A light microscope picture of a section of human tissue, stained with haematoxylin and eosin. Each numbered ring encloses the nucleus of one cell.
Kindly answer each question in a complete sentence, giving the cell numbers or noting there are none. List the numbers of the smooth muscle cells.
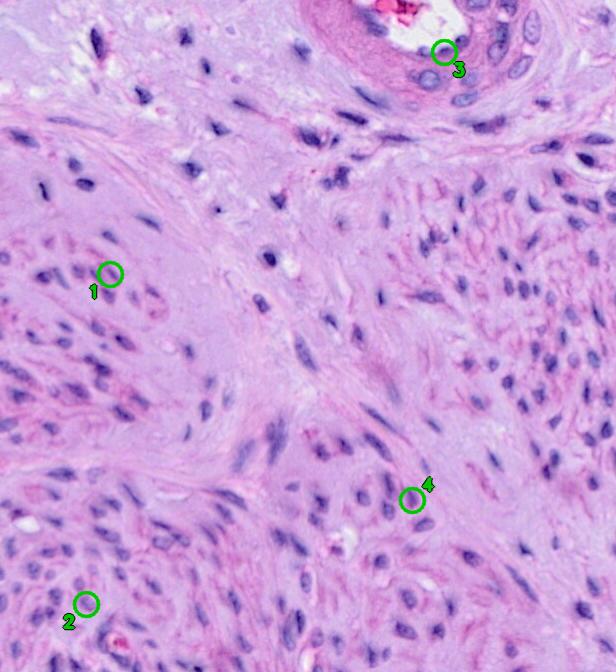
The cells assigned the numbers 1, 2 and 4 are smooth muscle cells.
